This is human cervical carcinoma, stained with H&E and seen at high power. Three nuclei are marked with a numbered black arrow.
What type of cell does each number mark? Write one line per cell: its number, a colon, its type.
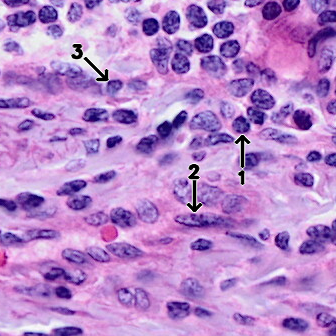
1: lymphocyte
2: endothelial cell
3: lymphocyte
